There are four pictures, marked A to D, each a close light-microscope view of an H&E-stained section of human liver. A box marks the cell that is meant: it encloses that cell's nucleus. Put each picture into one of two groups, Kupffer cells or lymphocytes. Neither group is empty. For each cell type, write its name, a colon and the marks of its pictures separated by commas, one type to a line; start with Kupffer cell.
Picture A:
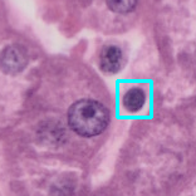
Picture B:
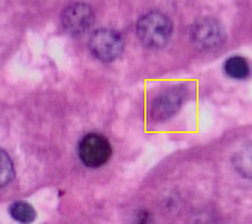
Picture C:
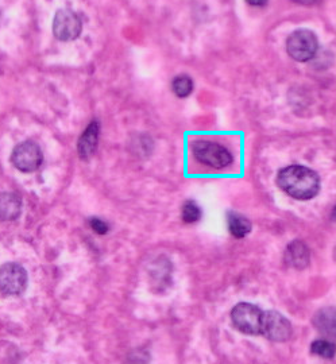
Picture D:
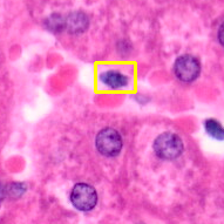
Kupffer cell: B, C
lymphocyte: A, D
